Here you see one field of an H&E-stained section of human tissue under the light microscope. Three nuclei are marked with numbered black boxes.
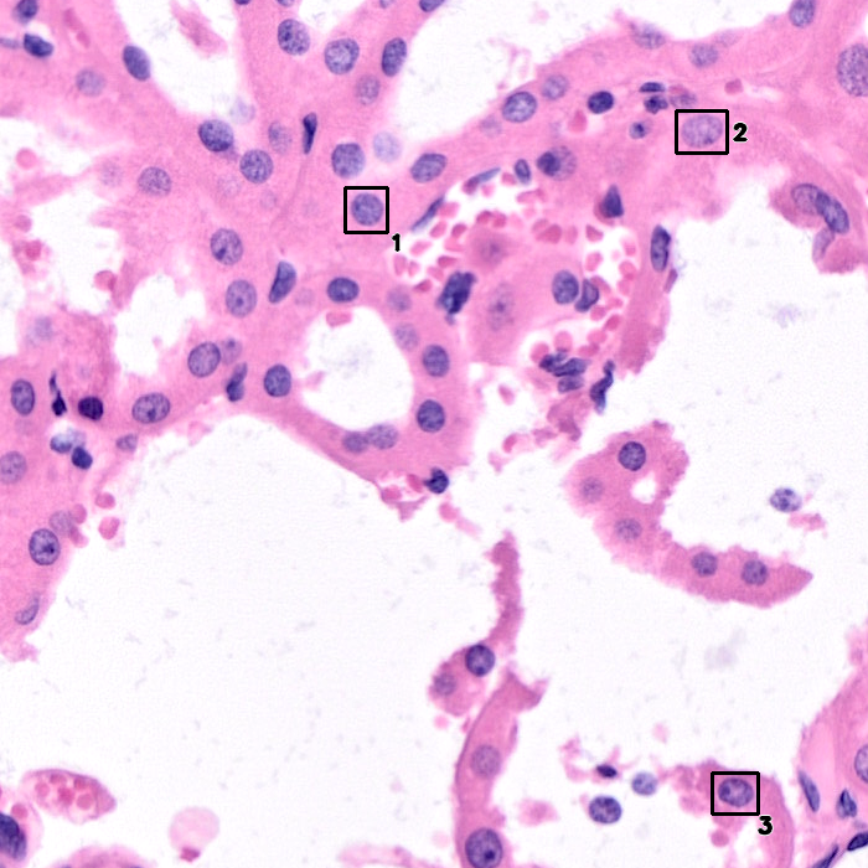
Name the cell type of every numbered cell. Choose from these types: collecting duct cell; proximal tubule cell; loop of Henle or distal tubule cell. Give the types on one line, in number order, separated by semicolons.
loop of Henle or distal tubule cell; proximal tubule cell; proximal tubule cell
